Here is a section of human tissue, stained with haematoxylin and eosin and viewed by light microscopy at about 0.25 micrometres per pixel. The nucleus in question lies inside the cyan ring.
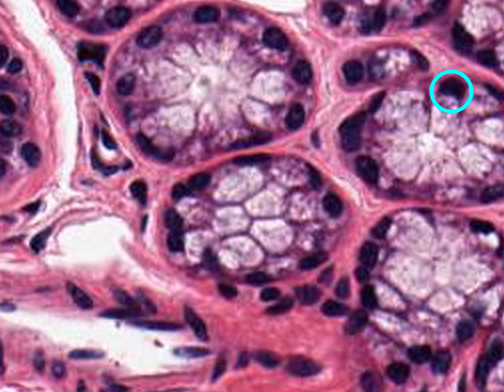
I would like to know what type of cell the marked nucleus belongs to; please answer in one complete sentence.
Part of a mucous gland cell is the marked nucleus.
